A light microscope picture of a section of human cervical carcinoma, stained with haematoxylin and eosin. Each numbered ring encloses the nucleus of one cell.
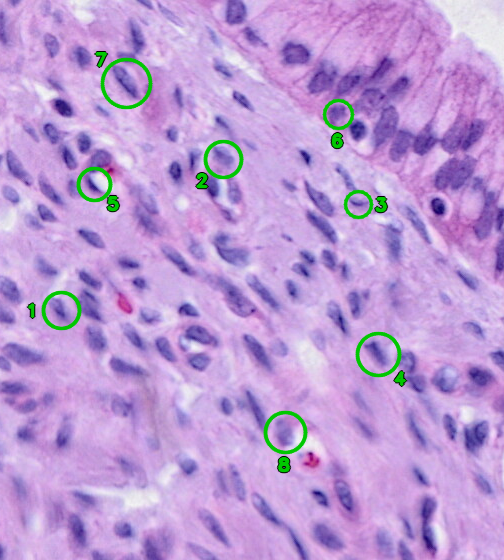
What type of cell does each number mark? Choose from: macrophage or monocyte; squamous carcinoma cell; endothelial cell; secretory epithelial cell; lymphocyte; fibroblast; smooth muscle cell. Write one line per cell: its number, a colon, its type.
1: fibroblast
2: fibroblast
3: fibroblast
4: fibroblast
5: endothelial cell
6: secretory epithelial cell
7: fibroblast
8: endothelial cell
